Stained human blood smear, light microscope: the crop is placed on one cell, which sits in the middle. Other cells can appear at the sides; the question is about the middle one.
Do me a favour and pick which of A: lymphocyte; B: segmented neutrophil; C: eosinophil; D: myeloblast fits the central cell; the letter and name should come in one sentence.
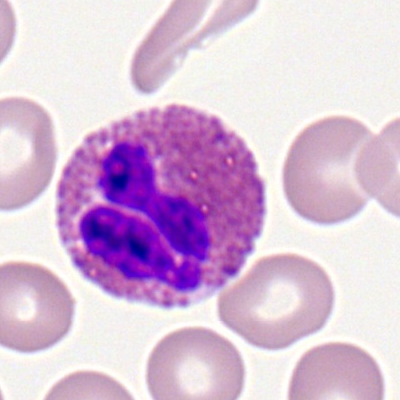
The correct response is option C, naming the cell in the middle as an eosinophil.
